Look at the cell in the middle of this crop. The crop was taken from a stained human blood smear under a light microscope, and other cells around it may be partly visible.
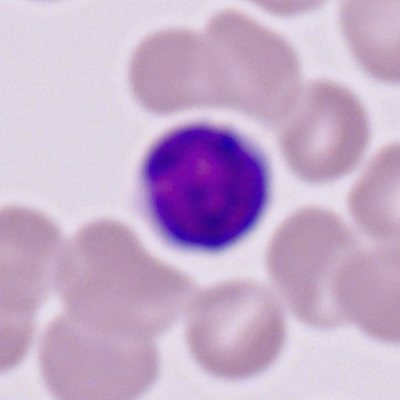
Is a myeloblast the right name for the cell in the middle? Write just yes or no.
no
